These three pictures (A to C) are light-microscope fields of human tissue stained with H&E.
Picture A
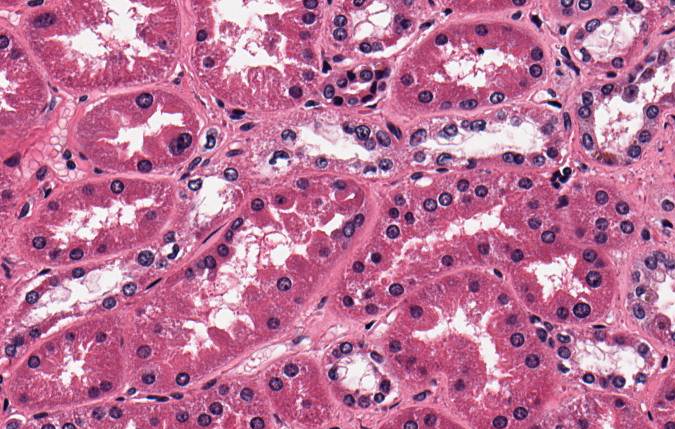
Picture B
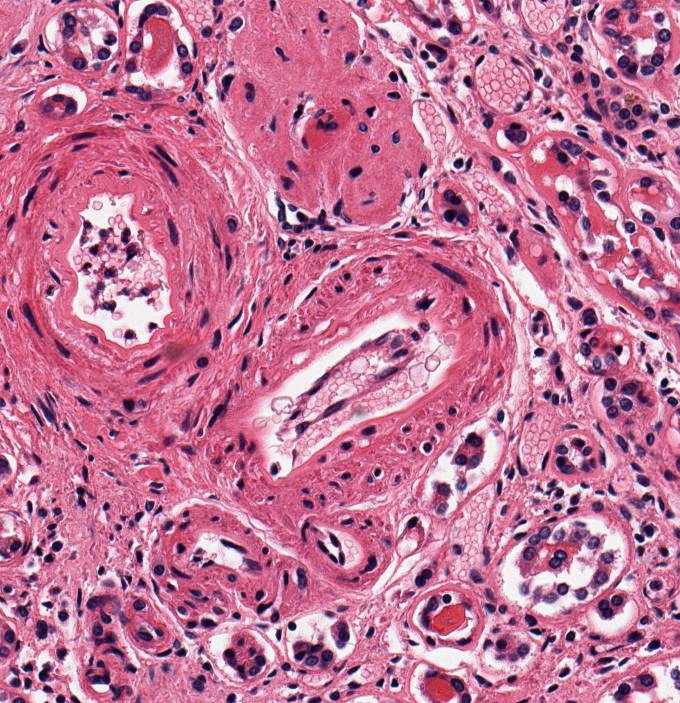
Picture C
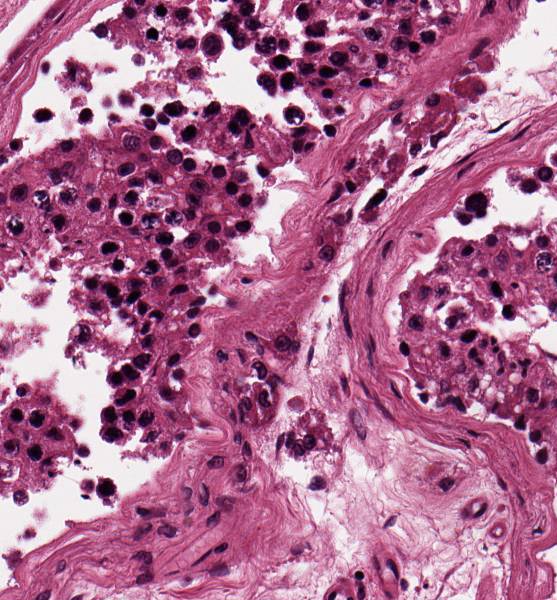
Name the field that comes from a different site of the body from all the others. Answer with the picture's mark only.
C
